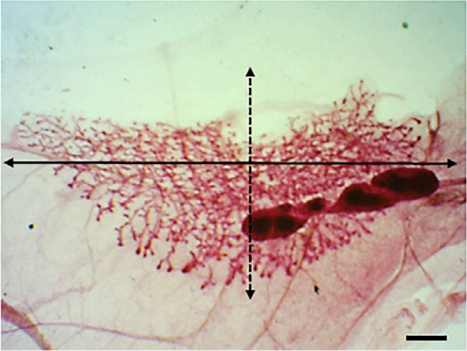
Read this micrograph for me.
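Here the whole-mounted mammary gland shows its ductal tree stained pink-red within the pale surrounding fatty tissue. The ducts branch repeatedly into a fan-shaped network, and the outermost branches finish in small swollen, rounded tips. Dark, dense oval bodies lie along the lower right edge of the branching field.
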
